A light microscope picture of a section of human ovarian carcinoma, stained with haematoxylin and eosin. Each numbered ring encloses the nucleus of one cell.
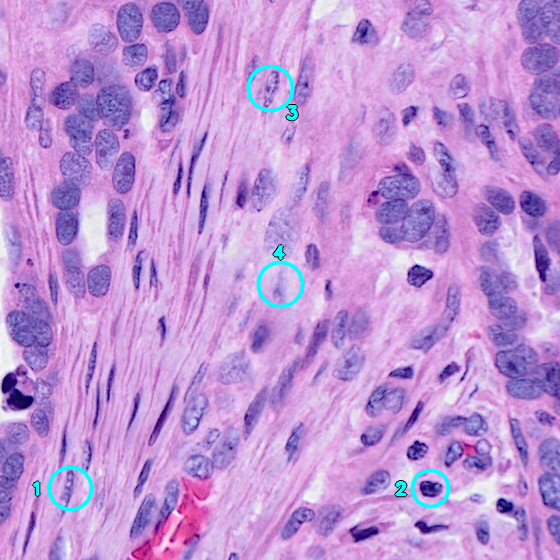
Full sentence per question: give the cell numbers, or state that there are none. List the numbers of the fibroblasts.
The cells marked 1, 3 and 4 in the section are fibroblasts.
